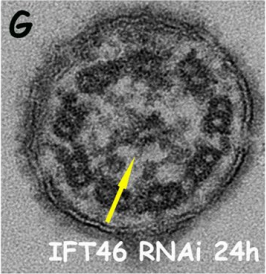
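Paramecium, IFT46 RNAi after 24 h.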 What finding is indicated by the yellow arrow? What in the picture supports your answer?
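Ill-organised microtubules. Cross-section of a cilium whose outer doublets are irregularly spaced. No clear central pair in the middle.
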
